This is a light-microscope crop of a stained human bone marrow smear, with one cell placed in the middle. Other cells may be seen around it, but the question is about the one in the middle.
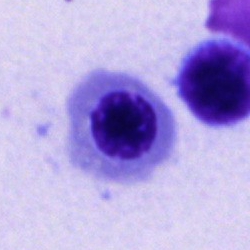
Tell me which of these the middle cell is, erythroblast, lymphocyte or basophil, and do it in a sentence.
The cell at the heart of this crop is an erythroblast.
